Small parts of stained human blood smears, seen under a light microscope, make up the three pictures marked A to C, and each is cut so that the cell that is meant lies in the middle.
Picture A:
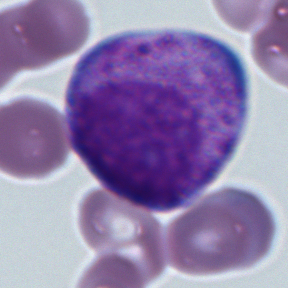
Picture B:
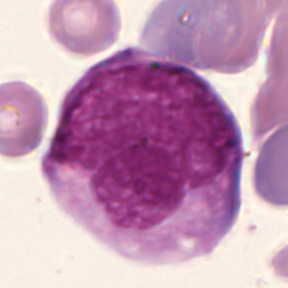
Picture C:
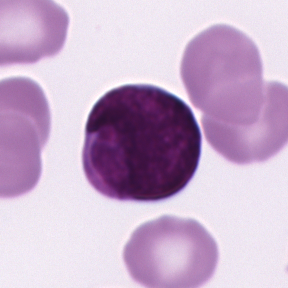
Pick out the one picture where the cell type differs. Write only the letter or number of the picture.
C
